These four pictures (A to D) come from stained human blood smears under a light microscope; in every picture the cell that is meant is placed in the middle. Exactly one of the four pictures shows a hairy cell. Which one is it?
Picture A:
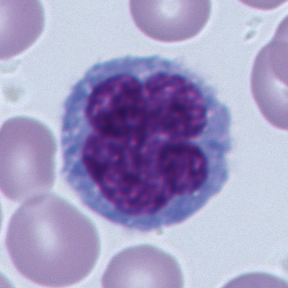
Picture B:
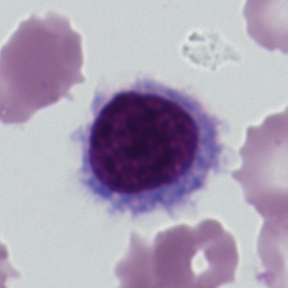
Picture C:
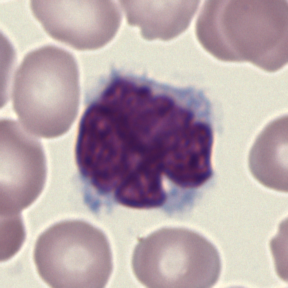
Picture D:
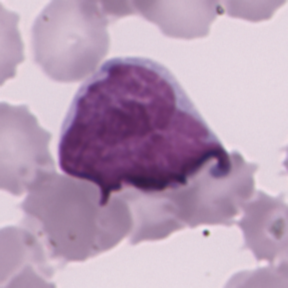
B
